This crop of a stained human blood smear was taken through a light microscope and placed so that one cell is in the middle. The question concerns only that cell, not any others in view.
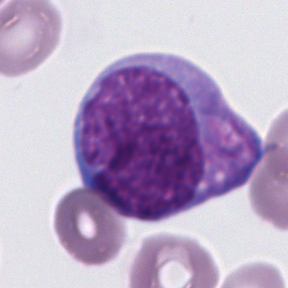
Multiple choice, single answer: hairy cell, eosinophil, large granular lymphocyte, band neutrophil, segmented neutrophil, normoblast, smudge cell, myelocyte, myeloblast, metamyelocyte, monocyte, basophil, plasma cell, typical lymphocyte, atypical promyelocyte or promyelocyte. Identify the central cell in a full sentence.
The target cell in the middle of the crop is an atypical promyelocyte.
